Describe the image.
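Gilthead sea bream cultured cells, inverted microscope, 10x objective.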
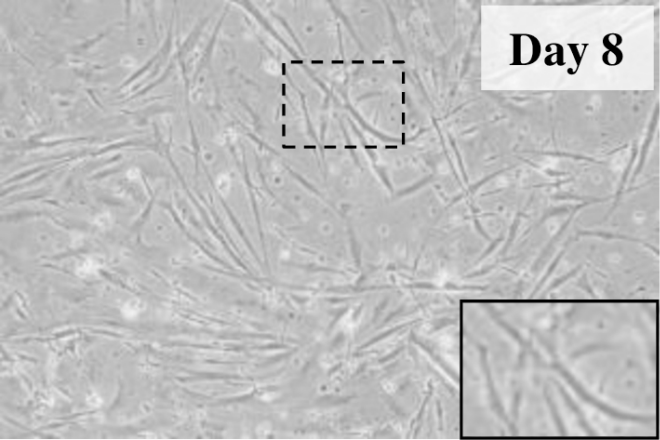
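The cells cross one another in loose bundles and networks, with patches of bare dish still visible between them. A few small round bright cells are scattered among them.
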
